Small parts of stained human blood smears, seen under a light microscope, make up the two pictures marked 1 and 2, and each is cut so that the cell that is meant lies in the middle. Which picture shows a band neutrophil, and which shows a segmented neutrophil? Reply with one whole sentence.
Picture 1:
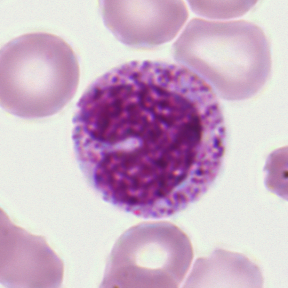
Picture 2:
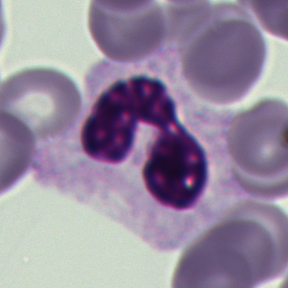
The cell in picture 1 is a band neutrophil, and the one in picture 2 is a segmented neutrophil.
